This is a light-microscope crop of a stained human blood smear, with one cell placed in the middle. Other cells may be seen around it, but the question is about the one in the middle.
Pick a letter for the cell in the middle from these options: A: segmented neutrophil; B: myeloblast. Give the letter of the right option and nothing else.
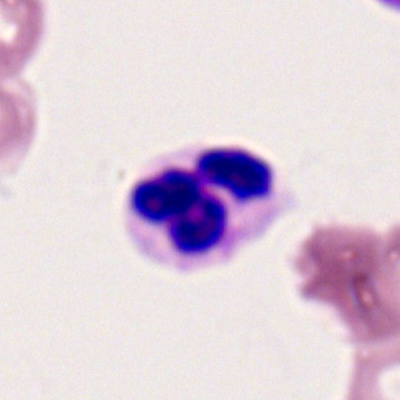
A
